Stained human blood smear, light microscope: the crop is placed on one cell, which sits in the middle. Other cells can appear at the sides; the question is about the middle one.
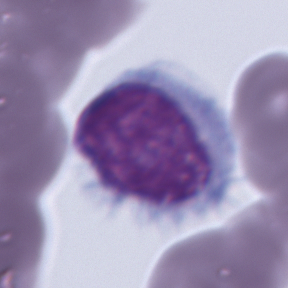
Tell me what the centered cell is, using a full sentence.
Seen at the centre of the crop is a hairy cell.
